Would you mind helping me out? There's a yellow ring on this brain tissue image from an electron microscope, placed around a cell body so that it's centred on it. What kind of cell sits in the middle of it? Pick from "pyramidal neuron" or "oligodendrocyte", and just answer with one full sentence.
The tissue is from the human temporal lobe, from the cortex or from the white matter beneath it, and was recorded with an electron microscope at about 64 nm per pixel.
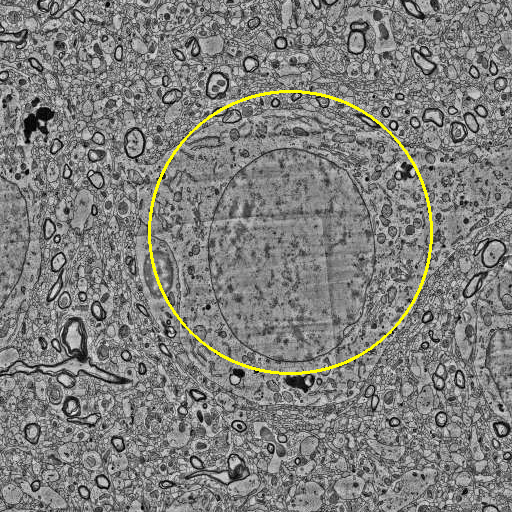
What sits in the middle of that yellow ring is a pyramidal neuron, from your choices.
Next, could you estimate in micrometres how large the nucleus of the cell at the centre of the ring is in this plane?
The nucleus is approximately 14 micrometers long by 11 micrometers wide in this plane.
